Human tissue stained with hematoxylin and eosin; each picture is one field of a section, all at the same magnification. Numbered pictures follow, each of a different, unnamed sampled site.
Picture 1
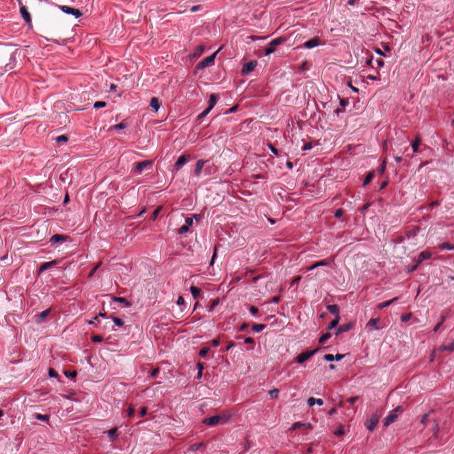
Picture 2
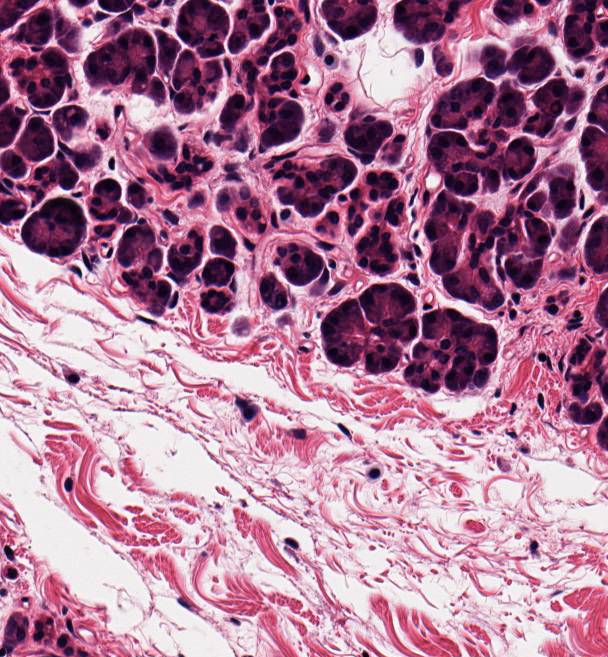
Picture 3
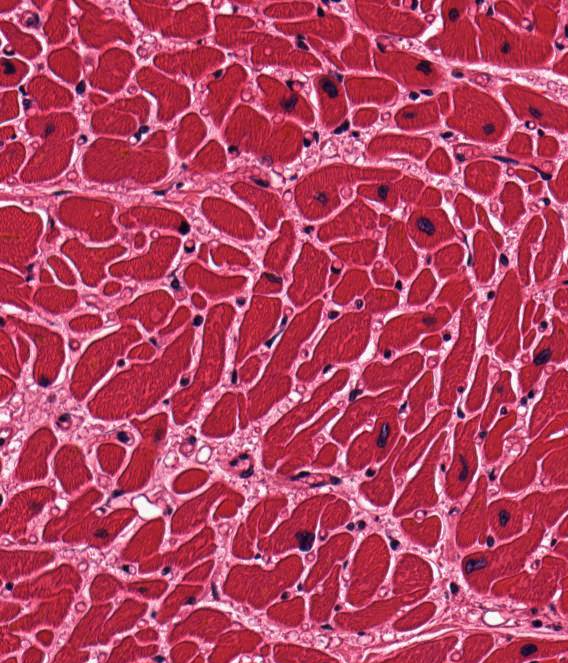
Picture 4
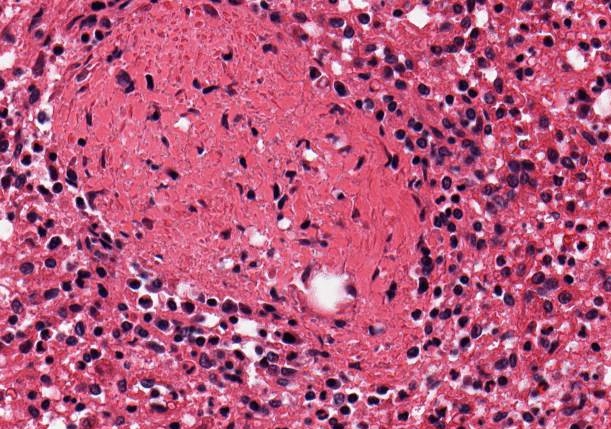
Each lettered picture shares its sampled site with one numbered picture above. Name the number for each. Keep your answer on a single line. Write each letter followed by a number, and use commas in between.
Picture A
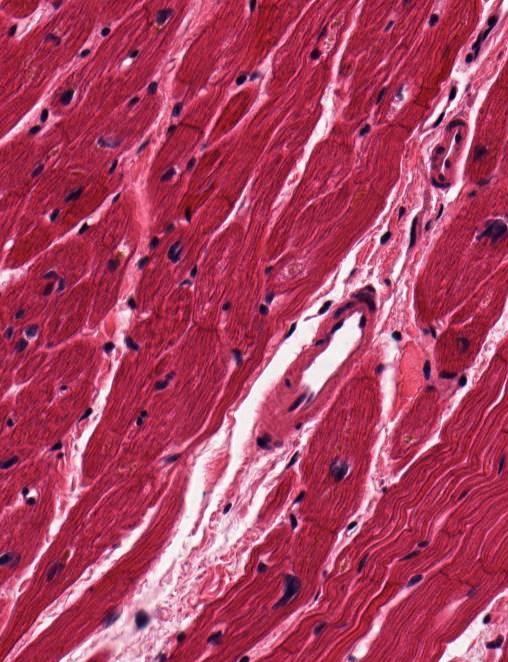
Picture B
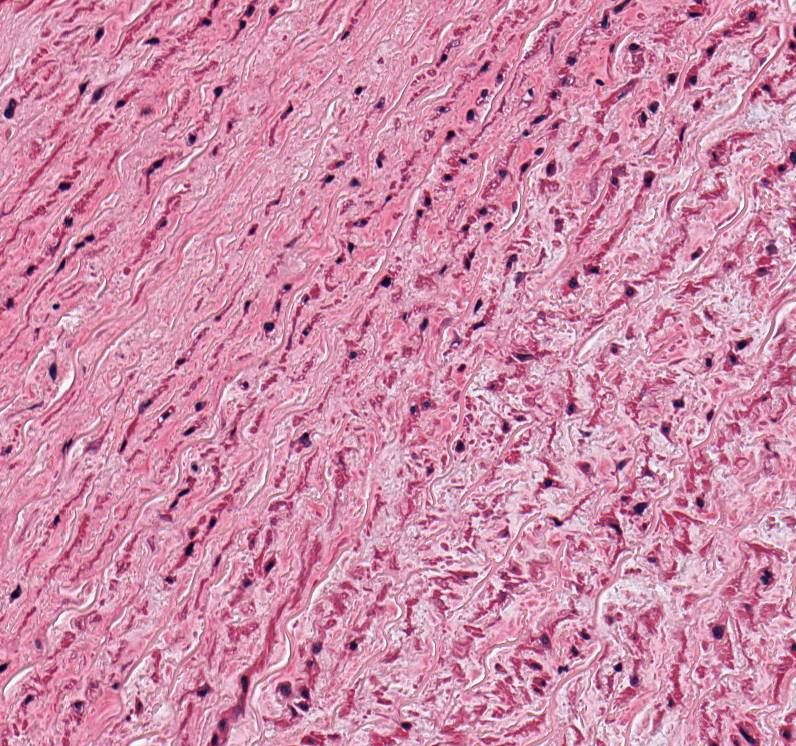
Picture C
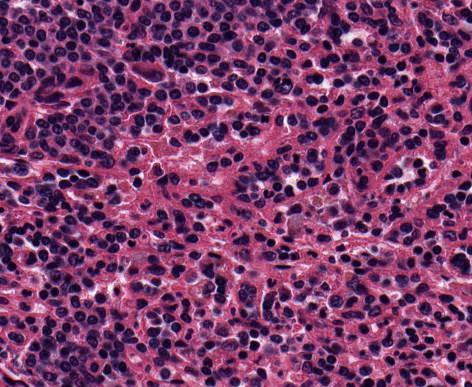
A 3, B 1, C 4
